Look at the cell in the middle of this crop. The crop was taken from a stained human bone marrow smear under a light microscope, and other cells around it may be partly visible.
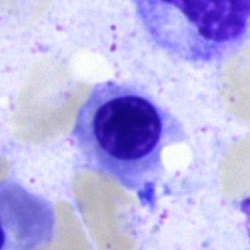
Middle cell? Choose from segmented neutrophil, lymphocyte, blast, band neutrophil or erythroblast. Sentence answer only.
The centrally placed cell is classified as an erythroblast.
